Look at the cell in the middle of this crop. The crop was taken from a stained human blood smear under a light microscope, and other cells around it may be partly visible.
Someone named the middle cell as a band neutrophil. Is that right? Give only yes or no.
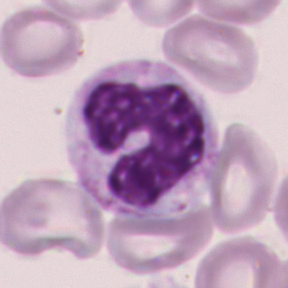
yes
